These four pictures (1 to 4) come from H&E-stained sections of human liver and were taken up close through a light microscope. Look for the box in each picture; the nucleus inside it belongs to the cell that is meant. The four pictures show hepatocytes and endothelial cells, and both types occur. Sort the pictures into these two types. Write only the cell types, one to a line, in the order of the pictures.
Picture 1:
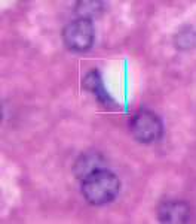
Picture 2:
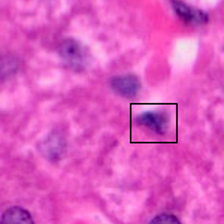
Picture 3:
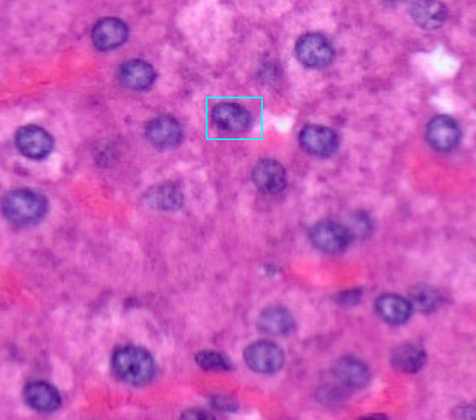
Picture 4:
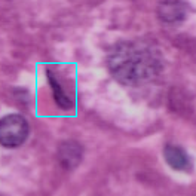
endothelial cell
endothelial cell
hepatocyte
endothelial cell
